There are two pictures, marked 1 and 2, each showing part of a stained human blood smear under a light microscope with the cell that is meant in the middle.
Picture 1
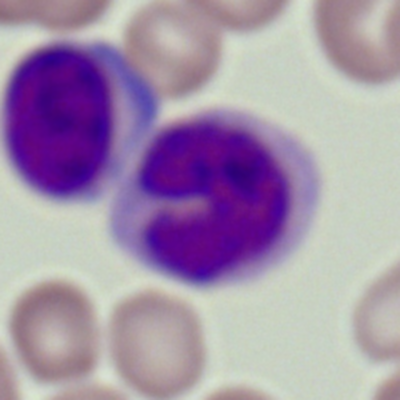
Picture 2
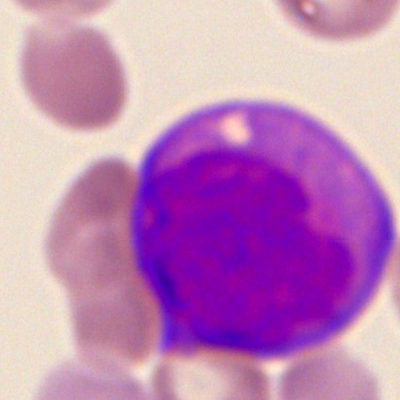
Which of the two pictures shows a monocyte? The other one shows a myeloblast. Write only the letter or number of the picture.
1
